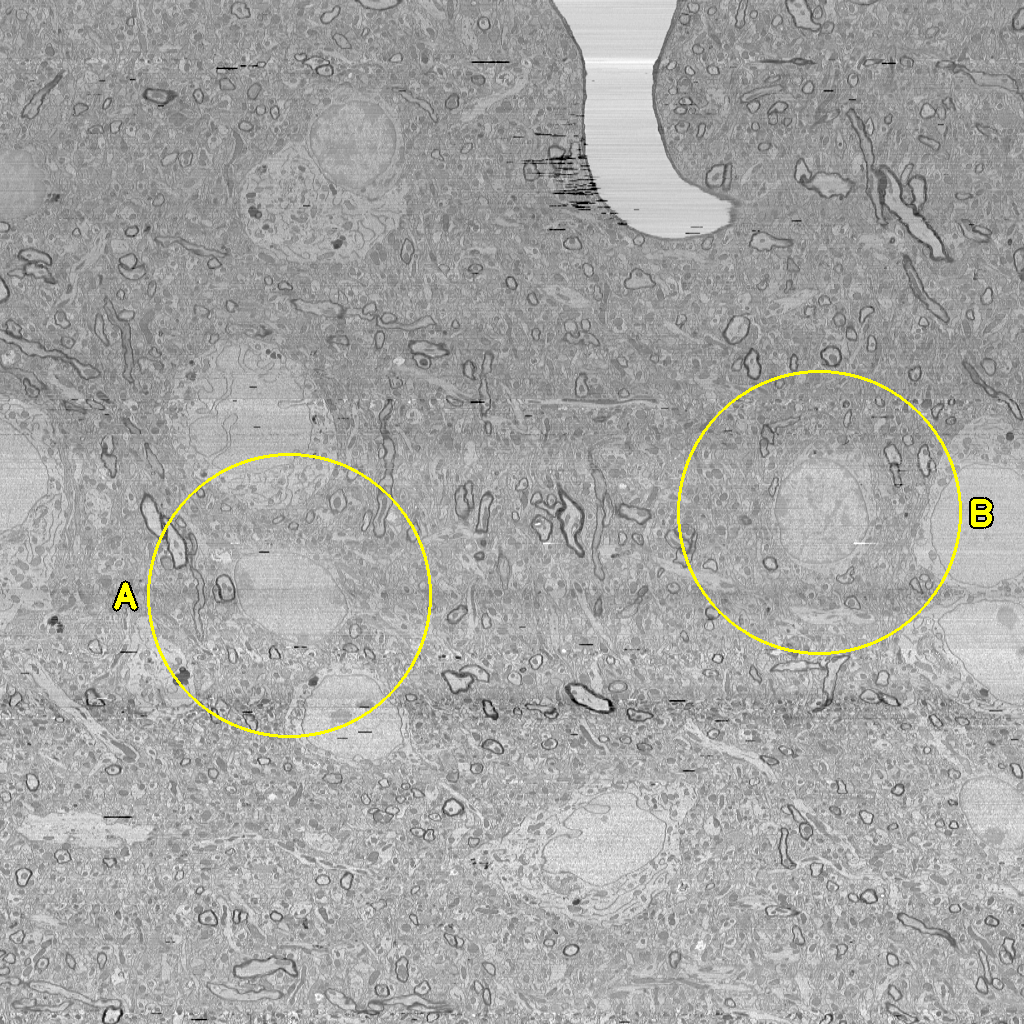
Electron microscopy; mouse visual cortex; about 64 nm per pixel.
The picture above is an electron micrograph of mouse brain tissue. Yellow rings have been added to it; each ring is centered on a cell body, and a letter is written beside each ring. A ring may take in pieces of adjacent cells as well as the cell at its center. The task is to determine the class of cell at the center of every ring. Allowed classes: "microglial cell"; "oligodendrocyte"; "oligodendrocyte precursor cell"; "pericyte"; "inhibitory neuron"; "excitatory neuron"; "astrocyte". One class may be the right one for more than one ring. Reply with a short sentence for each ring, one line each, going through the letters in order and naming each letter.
Ring A is centered on an astrocyte.
Ring B is centered on an oligodendrocyte.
